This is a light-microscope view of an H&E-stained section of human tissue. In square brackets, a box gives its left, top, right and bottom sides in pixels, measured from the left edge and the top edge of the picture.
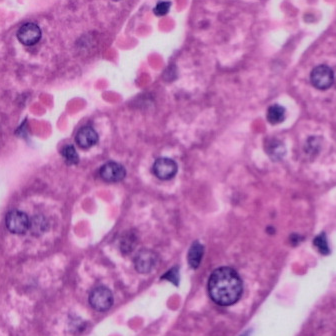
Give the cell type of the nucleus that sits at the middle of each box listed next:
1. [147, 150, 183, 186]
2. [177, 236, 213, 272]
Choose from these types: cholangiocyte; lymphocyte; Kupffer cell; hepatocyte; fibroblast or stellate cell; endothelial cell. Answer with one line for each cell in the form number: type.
1: hepatocyte
2: fibroblast or stellate cell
